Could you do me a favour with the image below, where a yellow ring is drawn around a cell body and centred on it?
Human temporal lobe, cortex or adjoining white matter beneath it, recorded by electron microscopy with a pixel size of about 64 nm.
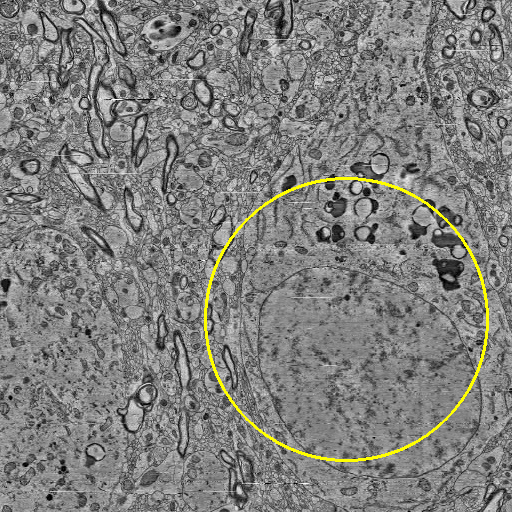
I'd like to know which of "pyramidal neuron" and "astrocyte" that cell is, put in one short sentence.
The cell at the ring's centre is a pyramidal neuron.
